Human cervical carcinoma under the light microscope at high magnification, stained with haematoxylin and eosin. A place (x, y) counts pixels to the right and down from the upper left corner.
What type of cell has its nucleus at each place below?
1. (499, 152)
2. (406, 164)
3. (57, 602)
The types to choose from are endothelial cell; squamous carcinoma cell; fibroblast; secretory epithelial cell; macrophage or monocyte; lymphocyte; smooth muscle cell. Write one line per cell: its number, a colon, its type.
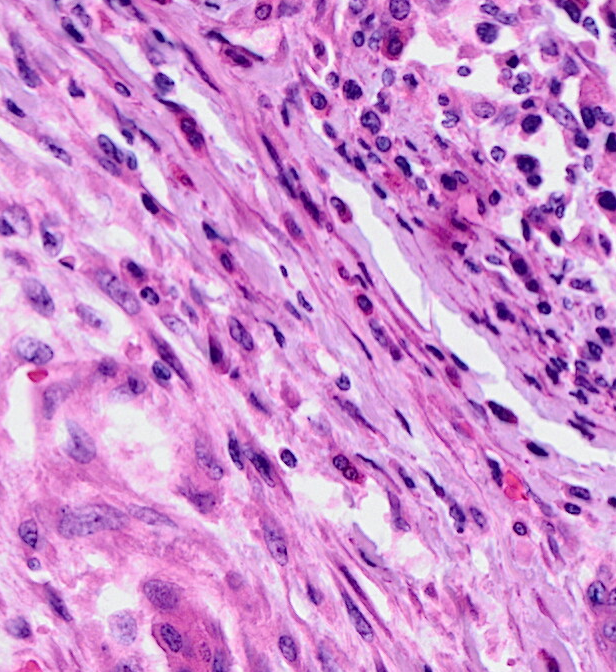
1: lymphocyte
2: lymphocyte
3: fibroblast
